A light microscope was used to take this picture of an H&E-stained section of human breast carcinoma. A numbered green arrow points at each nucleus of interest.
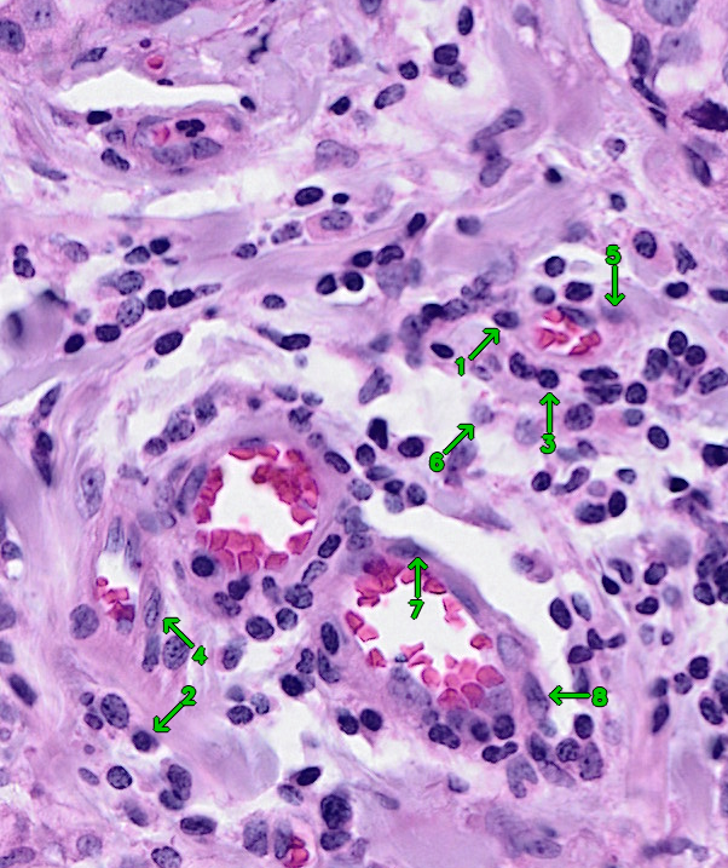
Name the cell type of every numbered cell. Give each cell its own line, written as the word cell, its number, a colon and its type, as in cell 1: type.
cell 1: lymphocyte
cell 2: lymphocyte
cell 3: lymphocyte
cell 4: endothelial cell
cell 5: endothelial cell
cell 6: macrophage, monocyte or dendritic cell
cell 7: endothelial cell
cell 8: endothelial cell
